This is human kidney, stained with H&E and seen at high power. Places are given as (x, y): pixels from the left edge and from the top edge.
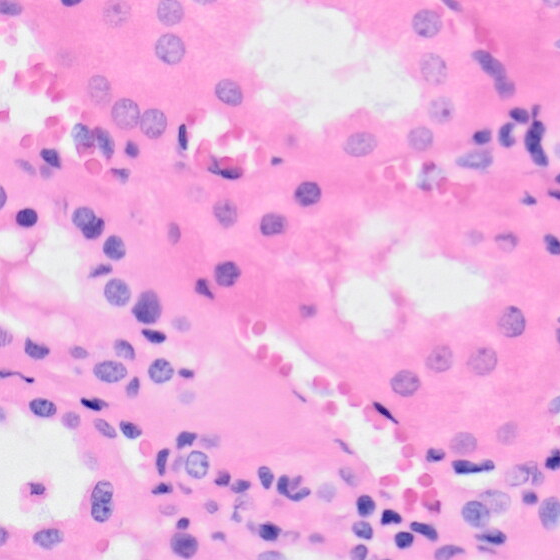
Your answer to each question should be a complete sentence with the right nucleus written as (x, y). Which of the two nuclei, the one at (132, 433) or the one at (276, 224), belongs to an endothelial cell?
The nucleus positioned at (132, 433) is the one that belongs to an endothelial cell.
